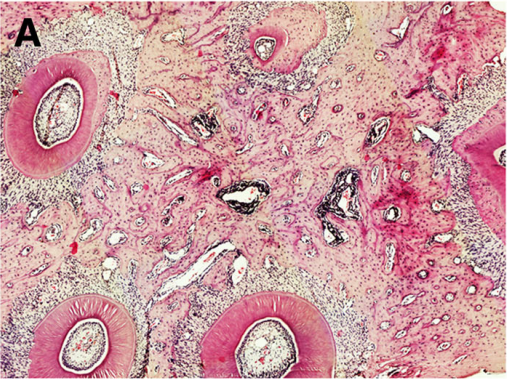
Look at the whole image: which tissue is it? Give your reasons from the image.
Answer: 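Interradicular alveolar bone. Several round cross-sections of tooth roots with pink rings around a central canal. Each root is surrounded by a band of cellular fibrous tissue. Pink bone with scattered small lacunae and vessels fills the space between the roots.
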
